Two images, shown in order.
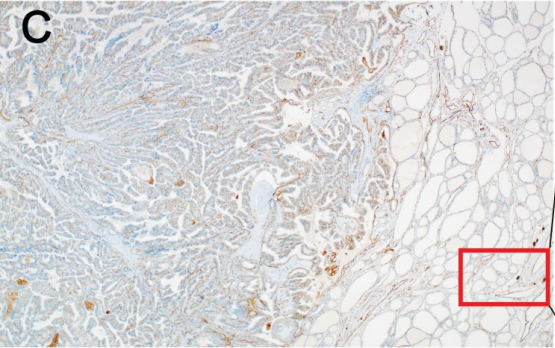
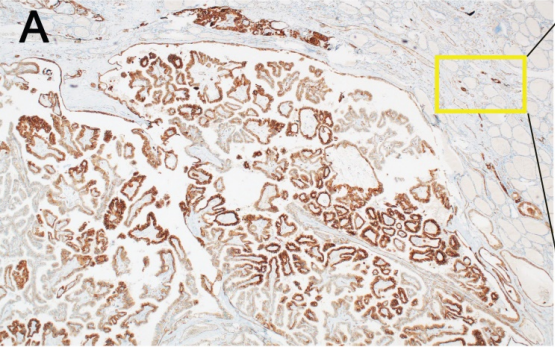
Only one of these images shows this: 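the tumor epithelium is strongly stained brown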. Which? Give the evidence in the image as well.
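First image: the papillary tumor is pale, mostly blue-grey with faint tan. Second image: much of the tumor epithelium lining the papillae is dark brown.
Answer: the second image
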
